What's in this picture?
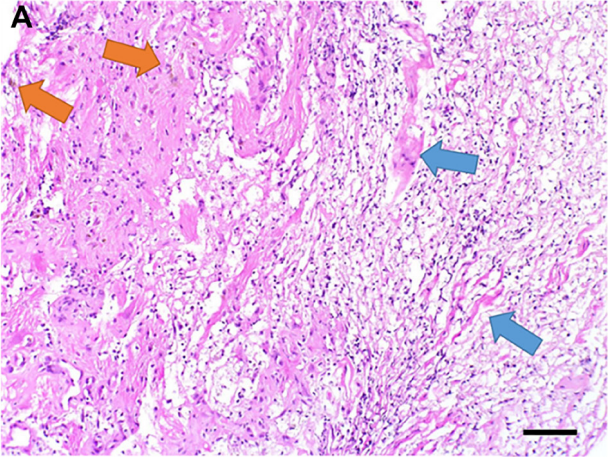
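This brain tissue shows gliosis with reactive astrocytes toward the upper left, where the parenchyma is pink and fibrillar, and necrosis with macrophages and other inflammatory cells toward the lower right, where the tissue is looser and more crowded with nuclei. Small golden-brown deposits of hemosiderin are scattered in the upper left. Blood vessels appear as elongated structures with glassy, thickened, broken-up pink walls.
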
